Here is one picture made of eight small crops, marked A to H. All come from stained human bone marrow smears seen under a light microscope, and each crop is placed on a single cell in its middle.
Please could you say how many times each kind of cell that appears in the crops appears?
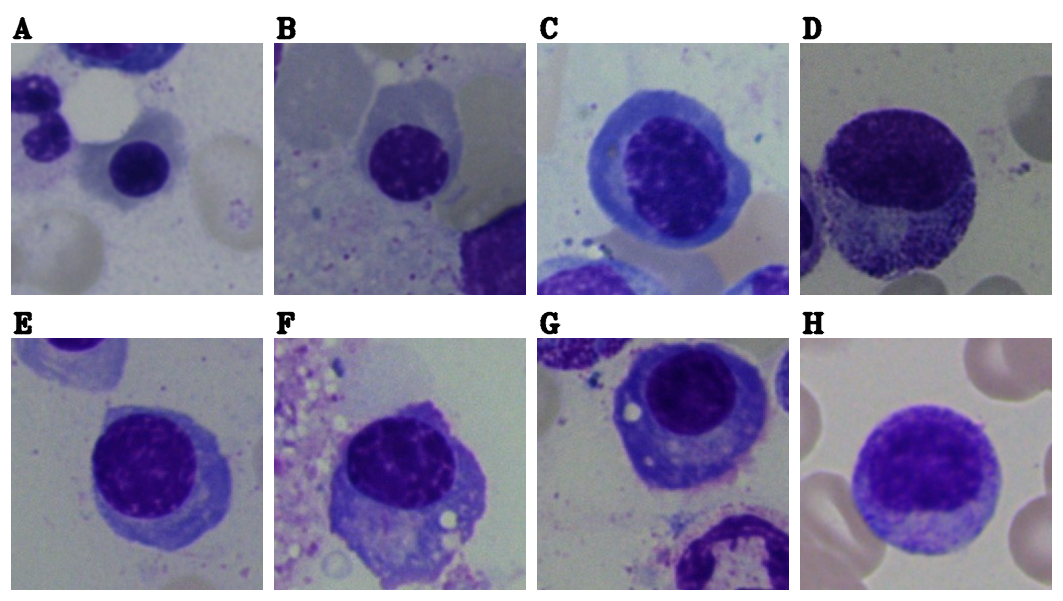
erythroblast: 4
myelocyte: 2
plasma cell: 2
